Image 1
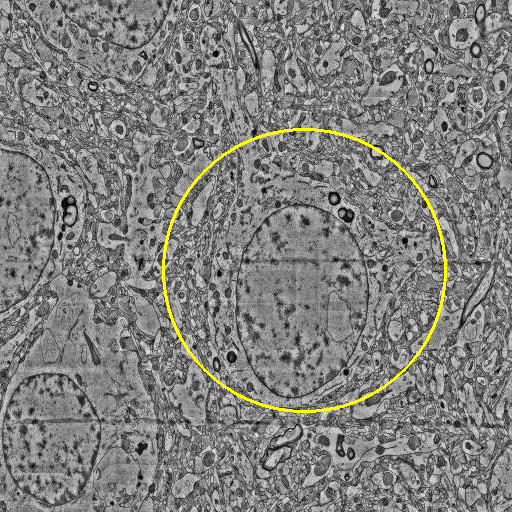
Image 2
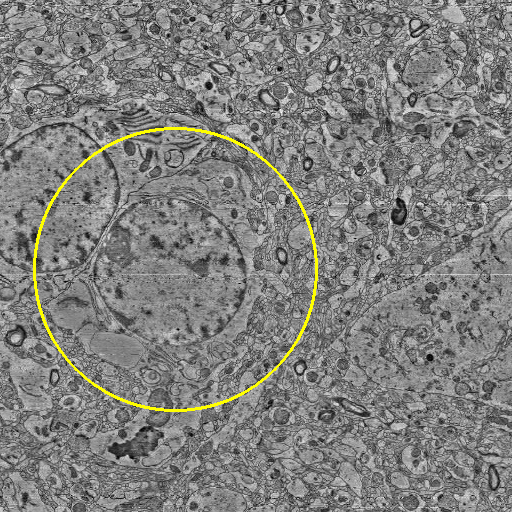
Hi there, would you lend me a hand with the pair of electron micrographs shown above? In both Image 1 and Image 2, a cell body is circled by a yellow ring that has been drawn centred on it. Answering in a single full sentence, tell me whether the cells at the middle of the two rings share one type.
No, the ringed cells in Image 1 and Image 2 belong to two types.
